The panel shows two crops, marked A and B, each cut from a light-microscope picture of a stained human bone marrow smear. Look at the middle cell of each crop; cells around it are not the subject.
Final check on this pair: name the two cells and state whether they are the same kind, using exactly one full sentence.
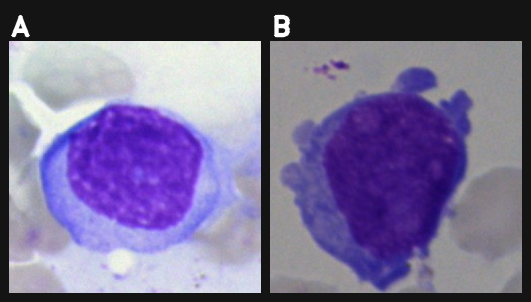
Yes, it is blasts that sit at the centre of both crops.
